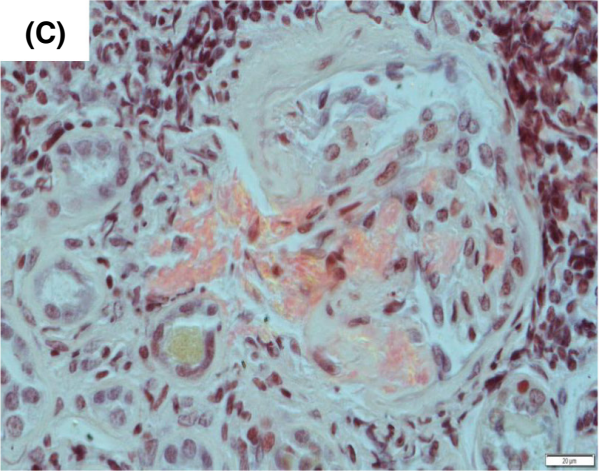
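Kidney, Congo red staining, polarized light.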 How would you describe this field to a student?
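A glomerulus is shown among tubules and a dense surrounding cellular infiltrate. Within the glomerular tuft lies orange-red amorphous material, parts of which show a yellow-green sheen, while the nuclei appear dark.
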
